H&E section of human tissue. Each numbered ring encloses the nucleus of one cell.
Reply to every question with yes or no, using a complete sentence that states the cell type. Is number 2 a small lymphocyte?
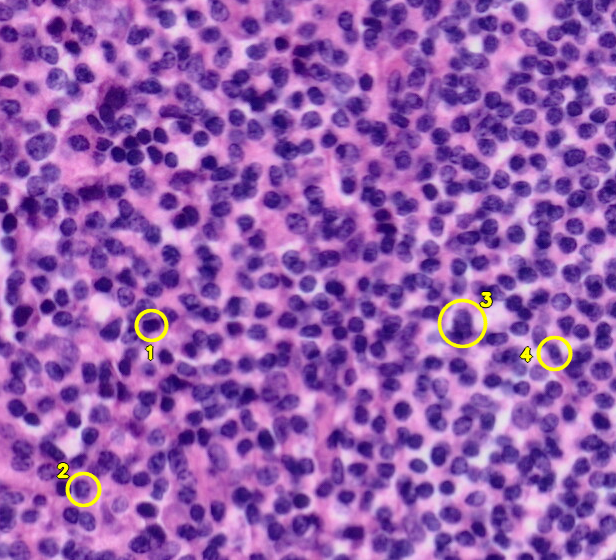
No, cell 2 is correctly identified as a plasma cell and not as a small lymphocyte.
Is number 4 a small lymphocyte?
Yes, the cell at number 4 is a small lymphocyte.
